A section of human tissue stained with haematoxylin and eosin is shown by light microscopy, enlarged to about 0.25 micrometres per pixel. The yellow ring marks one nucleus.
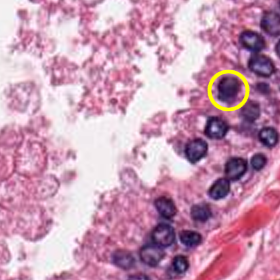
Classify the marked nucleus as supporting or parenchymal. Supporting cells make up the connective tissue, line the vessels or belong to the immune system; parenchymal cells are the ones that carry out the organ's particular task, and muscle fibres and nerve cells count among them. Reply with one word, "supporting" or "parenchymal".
parenchymal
